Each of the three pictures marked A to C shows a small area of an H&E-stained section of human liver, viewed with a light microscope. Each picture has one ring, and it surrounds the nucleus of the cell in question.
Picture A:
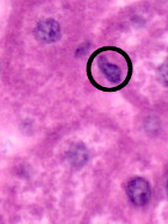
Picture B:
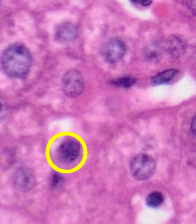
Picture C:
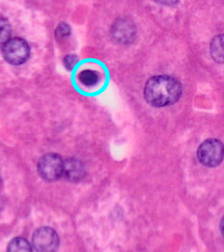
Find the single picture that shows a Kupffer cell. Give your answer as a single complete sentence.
The Kupffer cell is the one in picture B.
